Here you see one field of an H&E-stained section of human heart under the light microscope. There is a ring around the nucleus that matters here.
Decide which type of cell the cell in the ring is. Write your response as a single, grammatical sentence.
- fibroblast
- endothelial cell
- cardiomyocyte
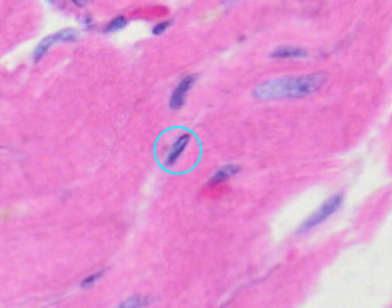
It is as an endothelial cell that the cell in the ring is recorded.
